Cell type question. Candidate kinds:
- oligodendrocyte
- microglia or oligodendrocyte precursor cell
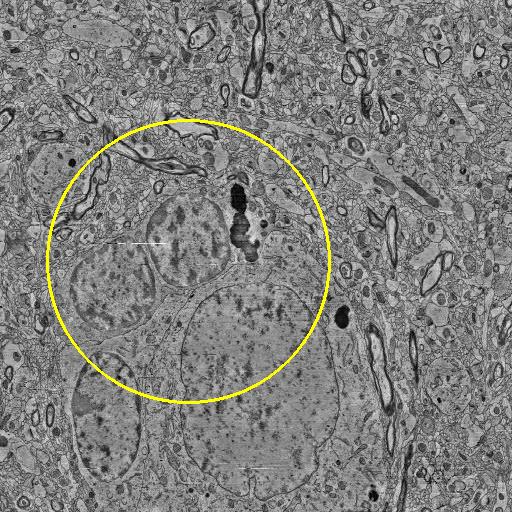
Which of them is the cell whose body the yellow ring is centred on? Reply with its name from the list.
oligodendrocyte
